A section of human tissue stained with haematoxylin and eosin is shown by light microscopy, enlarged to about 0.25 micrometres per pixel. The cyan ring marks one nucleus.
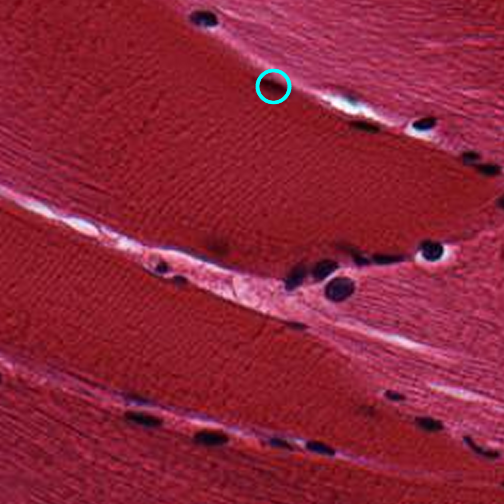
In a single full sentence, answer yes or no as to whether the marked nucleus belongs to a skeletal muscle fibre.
Yes, the marked nucleus is that of a skeletal muscle fibre in this section.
